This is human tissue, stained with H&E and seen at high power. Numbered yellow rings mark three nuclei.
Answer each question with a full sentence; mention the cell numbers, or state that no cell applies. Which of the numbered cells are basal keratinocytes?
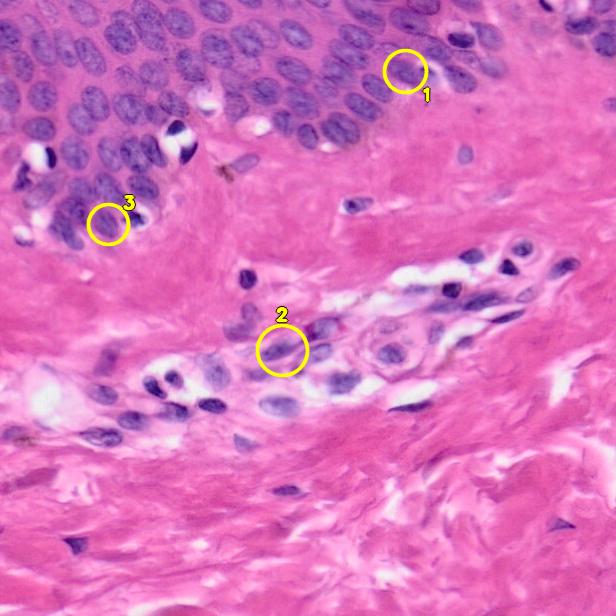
Identified as basal keratinocytes are the cells numbered 1 and 3.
